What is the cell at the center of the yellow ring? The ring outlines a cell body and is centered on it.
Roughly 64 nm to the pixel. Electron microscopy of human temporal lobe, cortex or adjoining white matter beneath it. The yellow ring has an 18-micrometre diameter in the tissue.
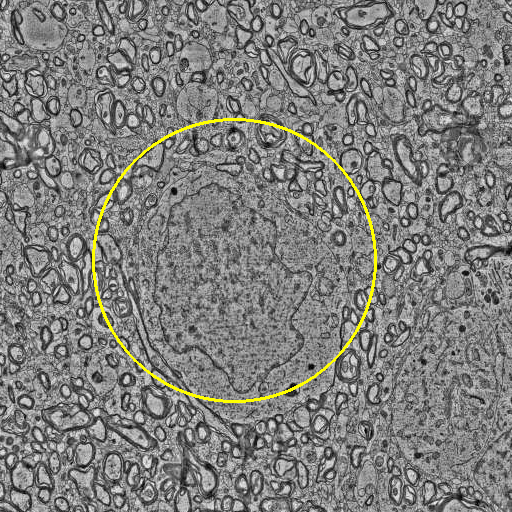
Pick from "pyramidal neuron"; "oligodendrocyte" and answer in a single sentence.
The yellow ring is centered on a pyramidal neuron.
